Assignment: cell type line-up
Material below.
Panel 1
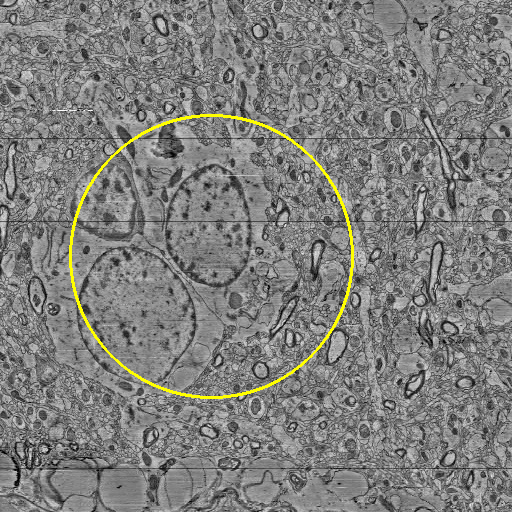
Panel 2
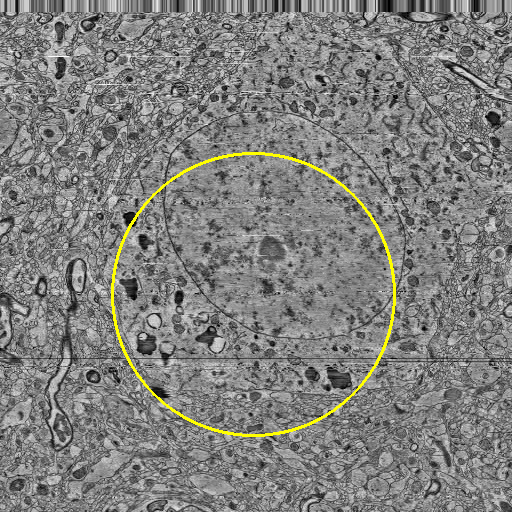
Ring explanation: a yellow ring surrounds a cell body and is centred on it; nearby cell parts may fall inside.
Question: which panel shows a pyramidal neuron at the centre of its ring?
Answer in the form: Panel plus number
Panel 2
